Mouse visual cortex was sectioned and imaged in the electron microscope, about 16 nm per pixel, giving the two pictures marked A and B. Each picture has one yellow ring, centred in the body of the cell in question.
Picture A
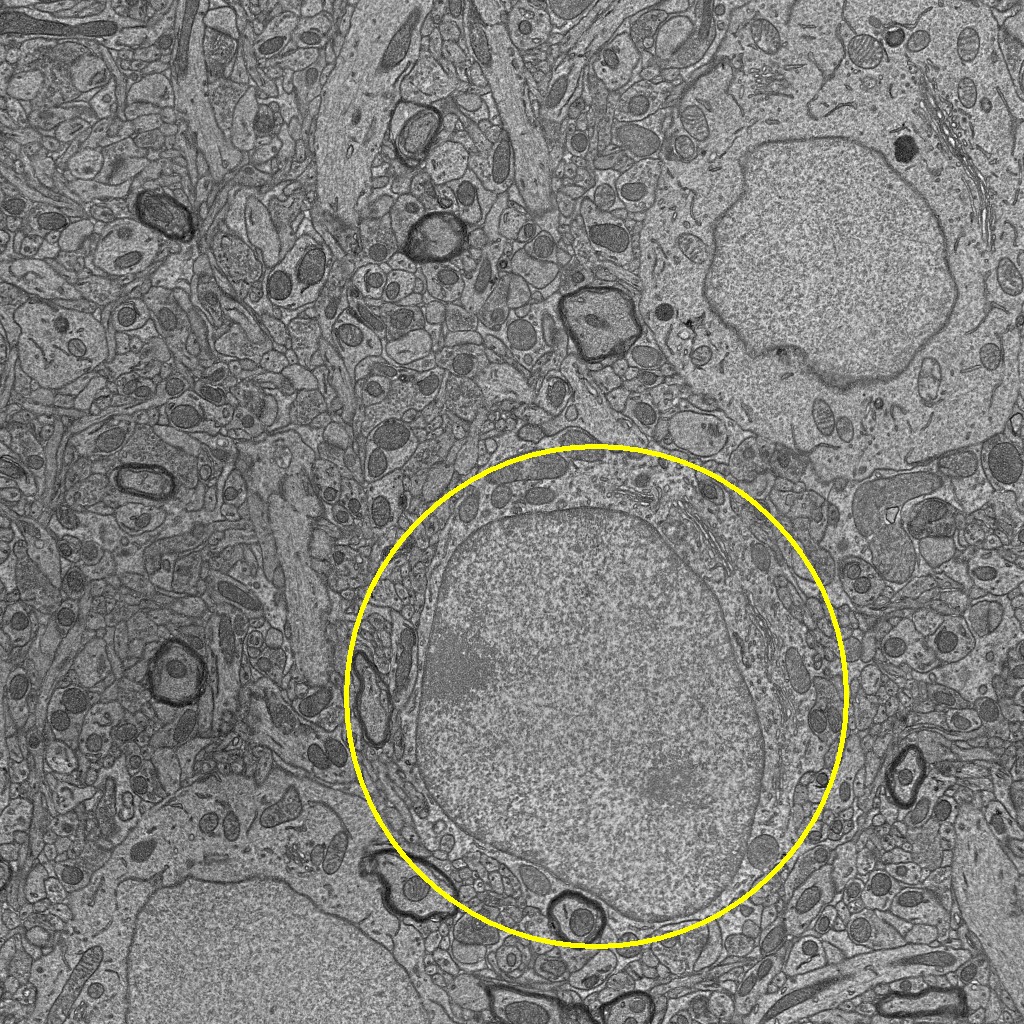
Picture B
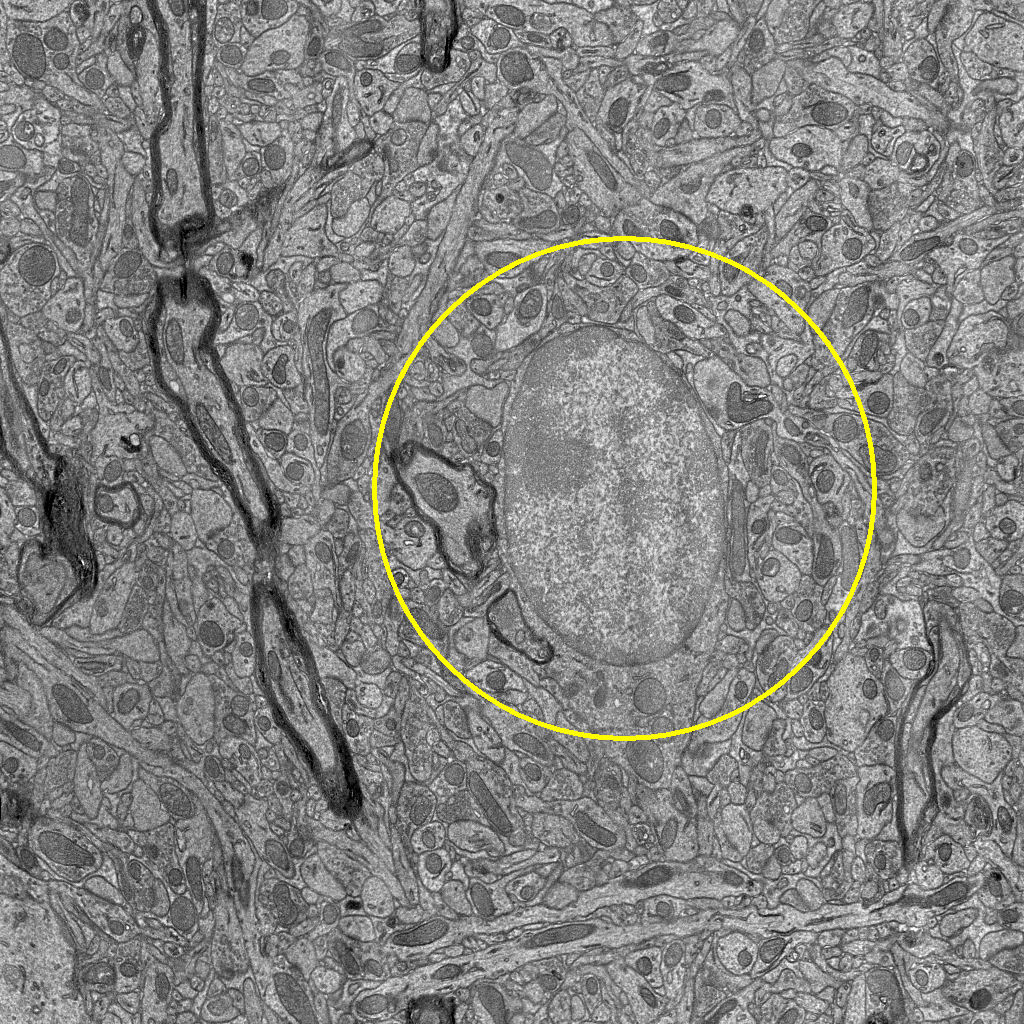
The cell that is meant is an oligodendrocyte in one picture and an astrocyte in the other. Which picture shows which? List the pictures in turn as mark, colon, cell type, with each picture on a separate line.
A: astrocyte
B: oligodendrocyte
